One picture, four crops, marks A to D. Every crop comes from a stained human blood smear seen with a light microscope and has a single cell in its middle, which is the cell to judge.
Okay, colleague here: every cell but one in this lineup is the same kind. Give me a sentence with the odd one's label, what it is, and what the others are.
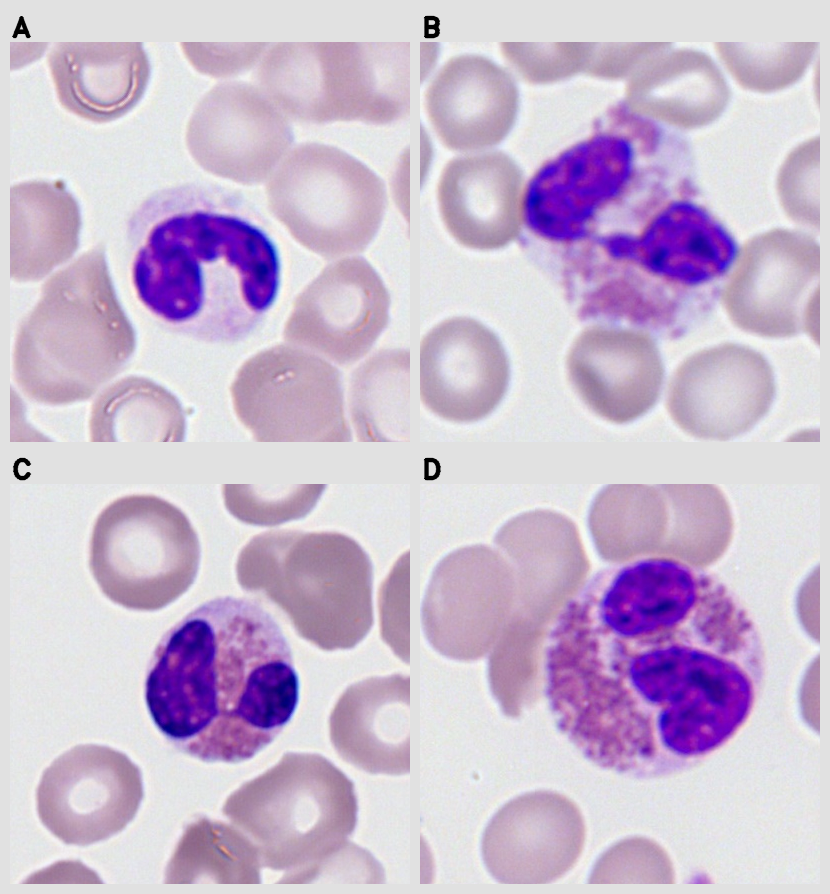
The different one is crop A, which is a segmented neutrophil; the rest all show eosinophils.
